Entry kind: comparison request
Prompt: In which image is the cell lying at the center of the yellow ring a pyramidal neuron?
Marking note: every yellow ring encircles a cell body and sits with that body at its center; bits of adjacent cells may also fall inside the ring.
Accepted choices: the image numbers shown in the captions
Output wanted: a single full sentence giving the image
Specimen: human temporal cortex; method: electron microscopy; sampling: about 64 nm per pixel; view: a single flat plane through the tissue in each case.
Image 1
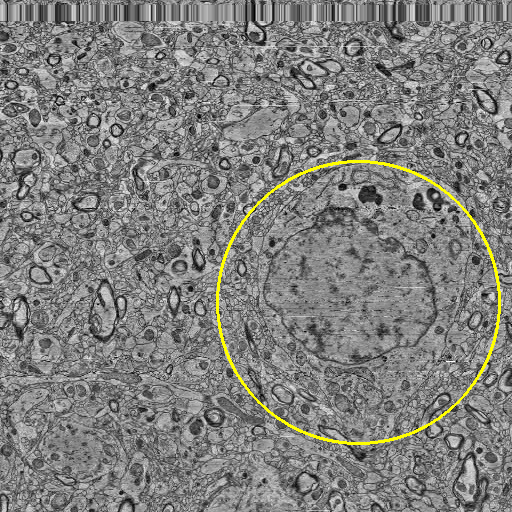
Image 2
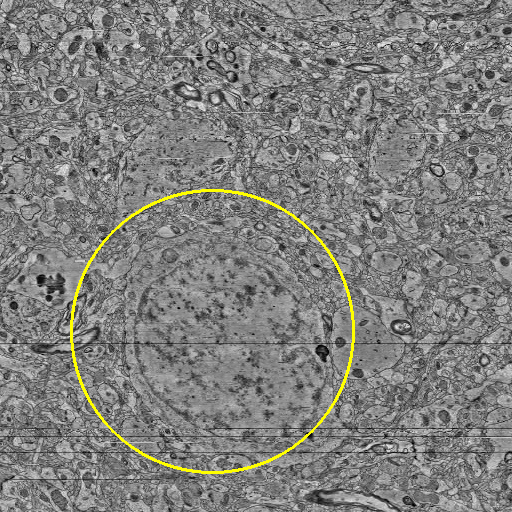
In image 1, the ringed cell at the center matches the prompt.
